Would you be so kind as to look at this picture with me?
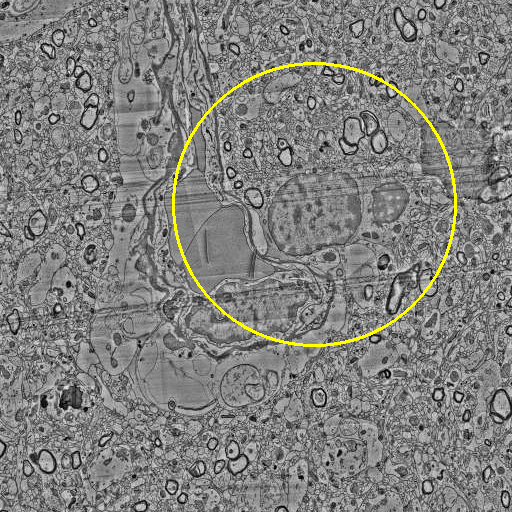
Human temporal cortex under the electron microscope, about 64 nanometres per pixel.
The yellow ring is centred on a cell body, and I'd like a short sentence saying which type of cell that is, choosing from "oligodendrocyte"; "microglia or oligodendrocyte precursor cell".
The cell body in the ring belongs to an oligodendrocyte.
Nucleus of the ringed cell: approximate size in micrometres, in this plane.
About 6 micrometres by about 5 micrometres in this plane.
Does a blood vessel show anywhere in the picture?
Yes, there is a blood vessel.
